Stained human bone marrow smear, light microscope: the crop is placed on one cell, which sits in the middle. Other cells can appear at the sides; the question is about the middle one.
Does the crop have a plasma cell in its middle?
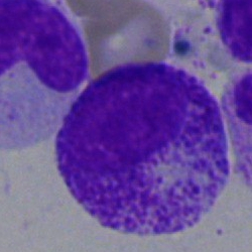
no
